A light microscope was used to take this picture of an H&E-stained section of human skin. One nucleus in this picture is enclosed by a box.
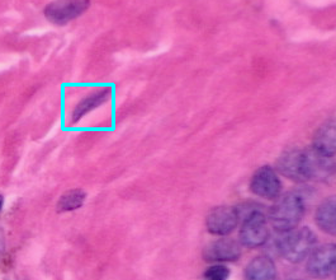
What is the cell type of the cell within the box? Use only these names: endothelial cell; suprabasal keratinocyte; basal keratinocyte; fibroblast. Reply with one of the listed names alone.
fibroblast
